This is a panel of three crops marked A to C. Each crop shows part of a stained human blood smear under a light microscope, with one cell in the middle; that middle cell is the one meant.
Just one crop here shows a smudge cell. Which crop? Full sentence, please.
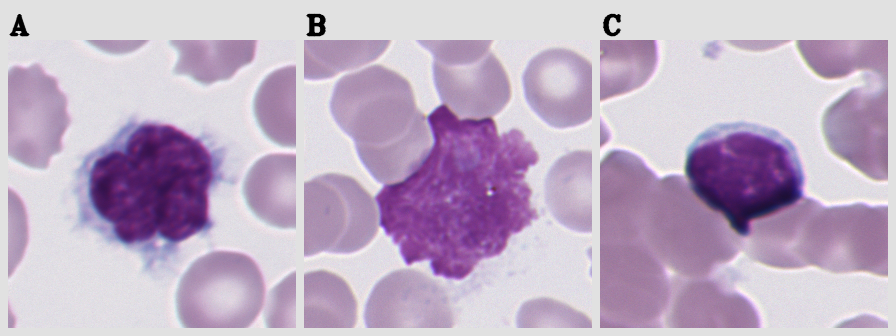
When the crops are compared, crop B is the one showing a smudge cell.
